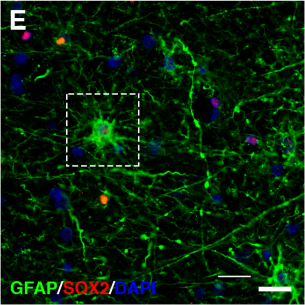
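The astrocyte has a rounded body from which many thick green processes radiate and branch in all directions. Scattered blue nuclei lie around it, a few of them also red.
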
